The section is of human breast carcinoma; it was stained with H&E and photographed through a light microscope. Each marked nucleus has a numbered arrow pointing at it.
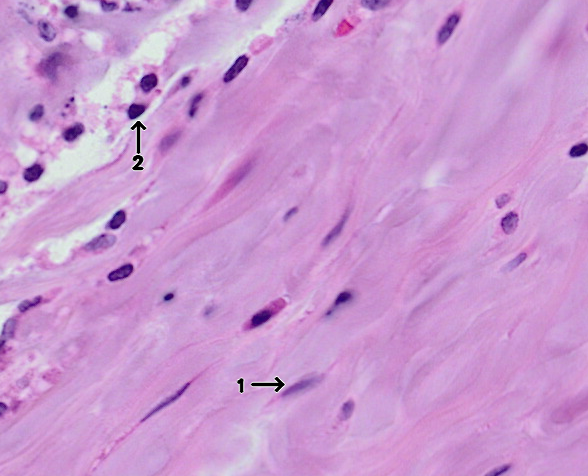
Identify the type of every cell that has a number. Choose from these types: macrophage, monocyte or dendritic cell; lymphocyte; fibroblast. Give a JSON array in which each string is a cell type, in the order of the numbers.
["fibroblast", "lymphocyte"]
